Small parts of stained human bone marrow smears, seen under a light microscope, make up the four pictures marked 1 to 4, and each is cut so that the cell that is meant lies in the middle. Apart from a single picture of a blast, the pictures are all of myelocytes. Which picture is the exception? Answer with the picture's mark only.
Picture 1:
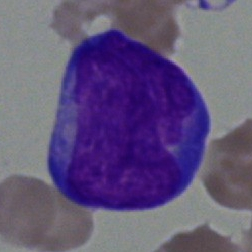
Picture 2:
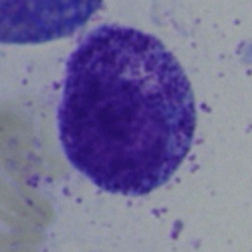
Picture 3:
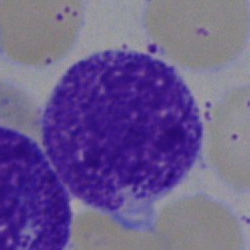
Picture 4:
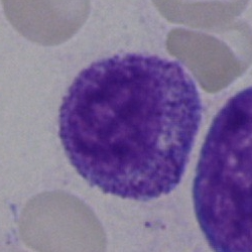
1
